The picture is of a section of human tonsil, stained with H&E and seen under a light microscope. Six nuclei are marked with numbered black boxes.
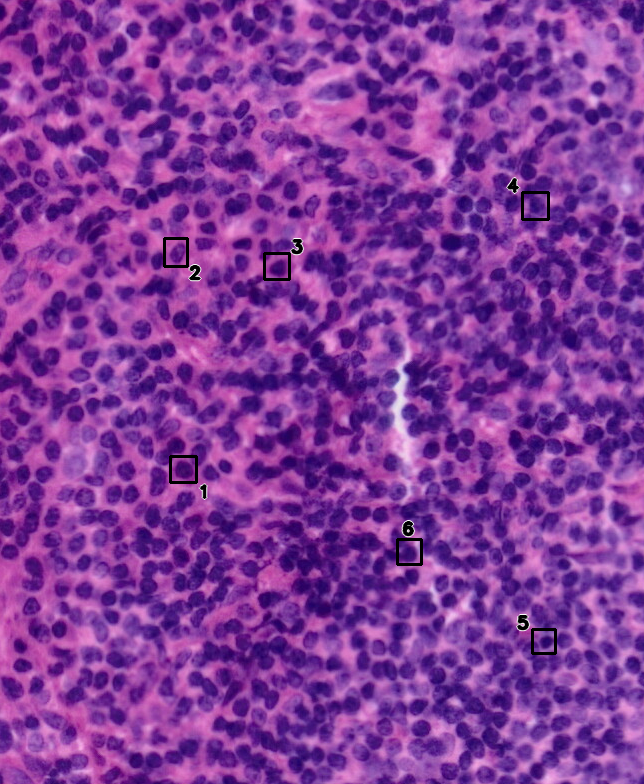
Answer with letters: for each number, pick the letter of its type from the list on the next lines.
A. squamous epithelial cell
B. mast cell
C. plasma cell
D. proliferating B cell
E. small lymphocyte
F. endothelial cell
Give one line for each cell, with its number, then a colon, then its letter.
1: C
2: C
3: C
4: E
5: E
6: E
